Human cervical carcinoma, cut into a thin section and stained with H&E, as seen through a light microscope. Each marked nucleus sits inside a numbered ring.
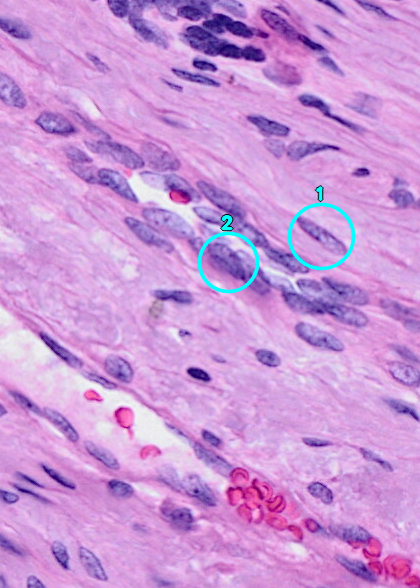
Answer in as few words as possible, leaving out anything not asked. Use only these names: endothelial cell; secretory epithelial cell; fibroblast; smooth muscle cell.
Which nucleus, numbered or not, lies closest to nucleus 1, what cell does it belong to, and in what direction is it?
an endothelial cell below and to the left of nucleus 1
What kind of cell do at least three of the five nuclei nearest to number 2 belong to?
endothelial cell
